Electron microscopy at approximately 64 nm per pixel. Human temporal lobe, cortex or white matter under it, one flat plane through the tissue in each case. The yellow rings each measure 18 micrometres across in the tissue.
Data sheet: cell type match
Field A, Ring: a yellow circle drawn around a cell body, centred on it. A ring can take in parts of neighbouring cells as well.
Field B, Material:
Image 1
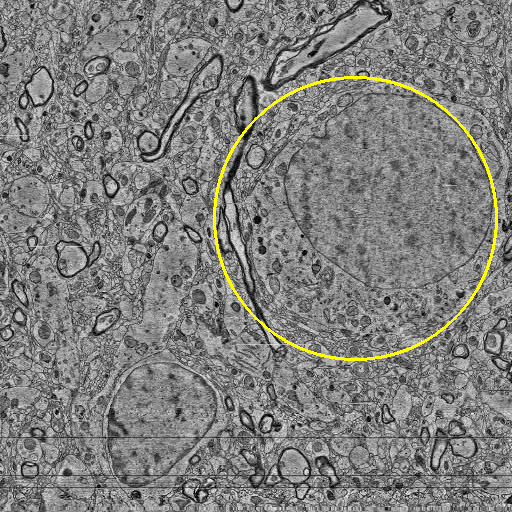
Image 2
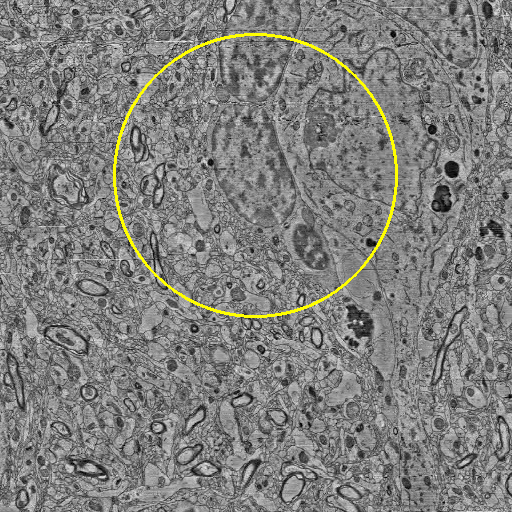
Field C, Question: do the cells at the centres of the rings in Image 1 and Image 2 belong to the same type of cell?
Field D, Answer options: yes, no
no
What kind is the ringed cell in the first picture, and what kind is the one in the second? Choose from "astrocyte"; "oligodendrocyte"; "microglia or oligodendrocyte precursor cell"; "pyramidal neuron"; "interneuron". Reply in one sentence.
The first cell is a pyramidal neuron; the second is an oligodendrocyte.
